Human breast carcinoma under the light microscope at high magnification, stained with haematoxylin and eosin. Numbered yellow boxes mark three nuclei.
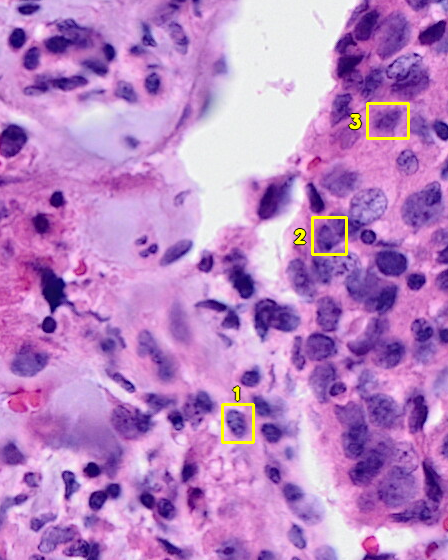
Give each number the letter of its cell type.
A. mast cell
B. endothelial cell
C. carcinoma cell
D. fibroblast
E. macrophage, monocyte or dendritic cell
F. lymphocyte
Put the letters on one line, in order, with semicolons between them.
A; C; C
